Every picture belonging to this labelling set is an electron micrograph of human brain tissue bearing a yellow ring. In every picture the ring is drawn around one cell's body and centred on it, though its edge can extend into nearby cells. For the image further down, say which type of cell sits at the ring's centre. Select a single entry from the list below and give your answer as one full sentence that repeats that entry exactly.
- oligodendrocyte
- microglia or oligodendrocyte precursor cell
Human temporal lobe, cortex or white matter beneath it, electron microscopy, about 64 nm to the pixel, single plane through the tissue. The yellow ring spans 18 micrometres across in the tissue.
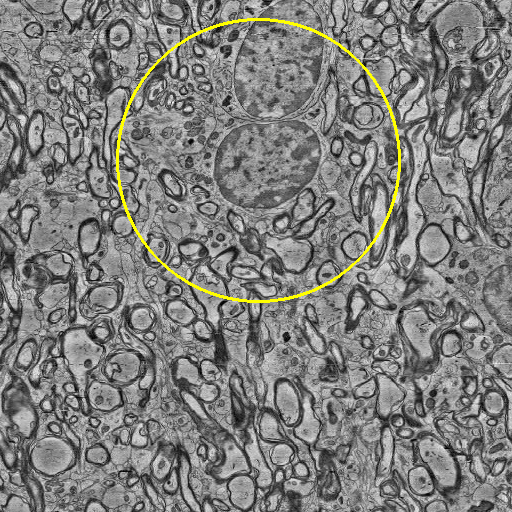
In the picture, a microglial cell or oligodendrocyte precursor cell is the cell at the centre of the yellow ring.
